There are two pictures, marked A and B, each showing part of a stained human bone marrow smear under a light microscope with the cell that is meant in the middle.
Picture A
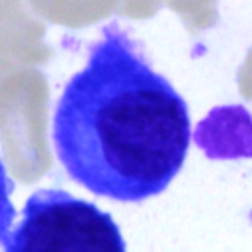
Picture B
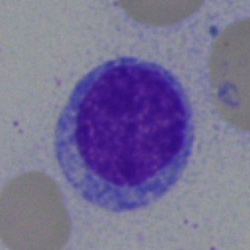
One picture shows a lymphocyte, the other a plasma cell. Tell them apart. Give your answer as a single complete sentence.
The cell in picture A is a plasma cell, and the one in picture B is a lymphocyte.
